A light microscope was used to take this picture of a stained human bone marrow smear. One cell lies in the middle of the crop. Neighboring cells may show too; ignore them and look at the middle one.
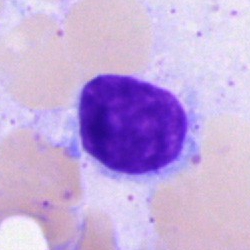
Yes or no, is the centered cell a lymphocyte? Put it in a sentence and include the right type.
Yes, in the centre of this field sits a lymphocyte.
